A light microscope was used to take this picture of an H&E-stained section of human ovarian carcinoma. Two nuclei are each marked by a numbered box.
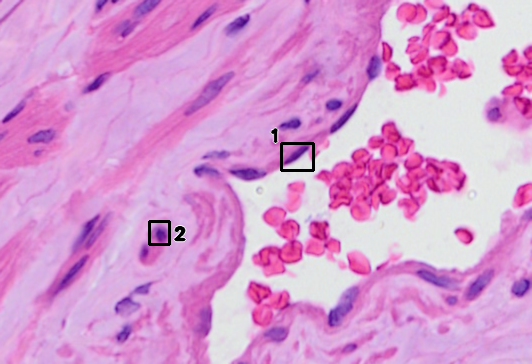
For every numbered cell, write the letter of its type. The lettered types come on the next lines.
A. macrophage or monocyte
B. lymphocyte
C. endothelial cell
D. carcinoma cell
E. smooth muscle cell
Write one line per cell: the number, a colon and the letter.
1: C
2: E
